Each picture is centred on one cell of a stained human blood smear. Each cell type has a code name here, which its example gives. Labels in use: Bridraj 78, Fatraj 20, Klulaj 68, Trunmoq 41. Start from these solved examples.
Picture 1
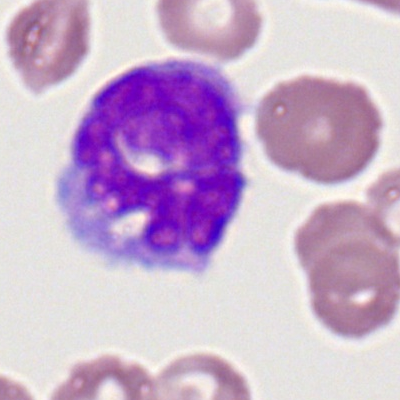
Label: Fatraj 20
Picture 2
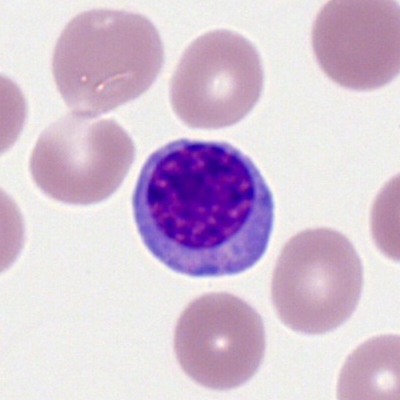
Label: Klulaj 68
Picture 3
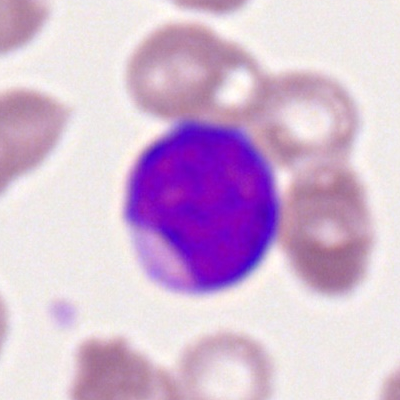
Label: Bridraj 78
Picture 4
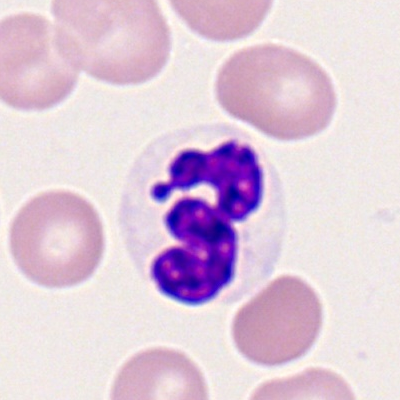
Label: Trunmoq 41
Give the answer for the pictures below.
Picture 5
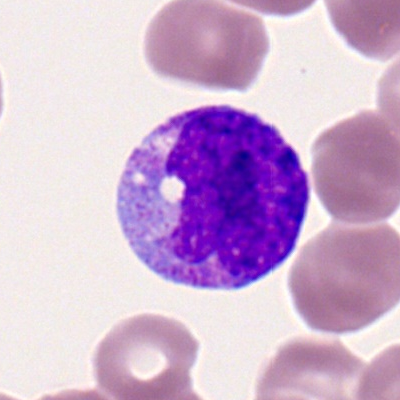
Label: Fatraj 20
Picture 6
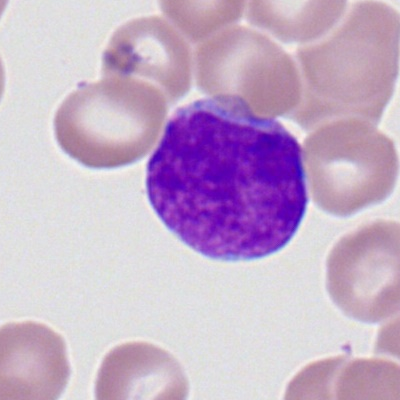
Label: Bridraj 78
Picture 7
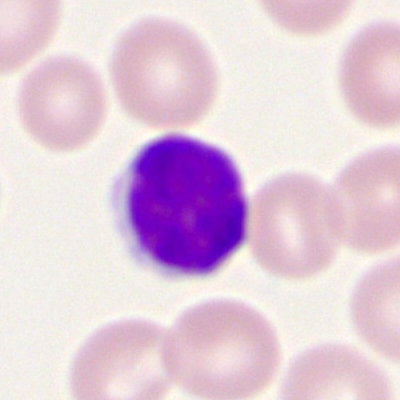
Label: Klulaj 68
